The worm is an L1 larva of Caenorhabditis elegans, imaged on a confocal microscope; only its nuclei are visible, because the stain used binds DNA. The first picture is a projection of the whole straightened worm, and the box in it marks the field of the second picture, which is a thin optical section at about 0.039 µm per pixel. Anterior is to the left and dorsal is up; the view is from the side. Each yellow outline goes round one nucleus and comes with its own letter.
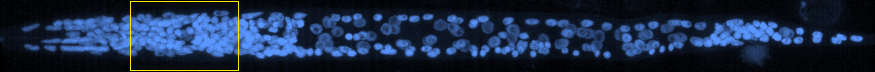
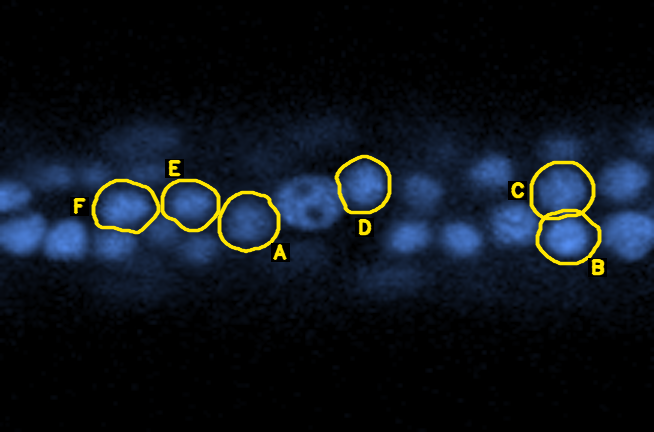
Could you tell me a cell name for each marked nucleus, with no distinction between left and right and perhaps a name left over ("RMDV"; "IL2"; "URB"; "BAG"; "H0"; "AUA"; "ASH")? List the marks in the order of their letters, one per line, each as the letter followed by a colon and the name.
A: BAG
B: AUA
C: ASH
D: RMDV
E: URB
F: IL2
